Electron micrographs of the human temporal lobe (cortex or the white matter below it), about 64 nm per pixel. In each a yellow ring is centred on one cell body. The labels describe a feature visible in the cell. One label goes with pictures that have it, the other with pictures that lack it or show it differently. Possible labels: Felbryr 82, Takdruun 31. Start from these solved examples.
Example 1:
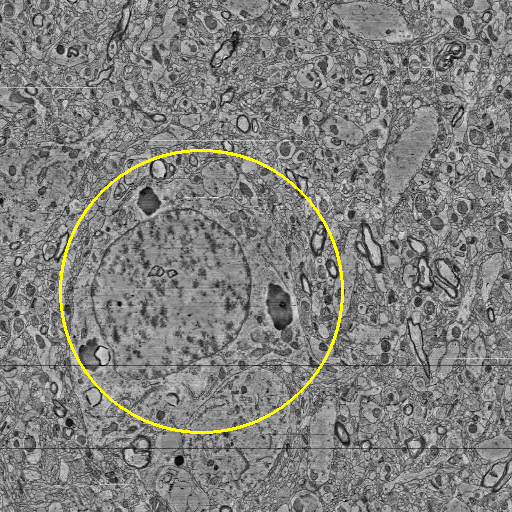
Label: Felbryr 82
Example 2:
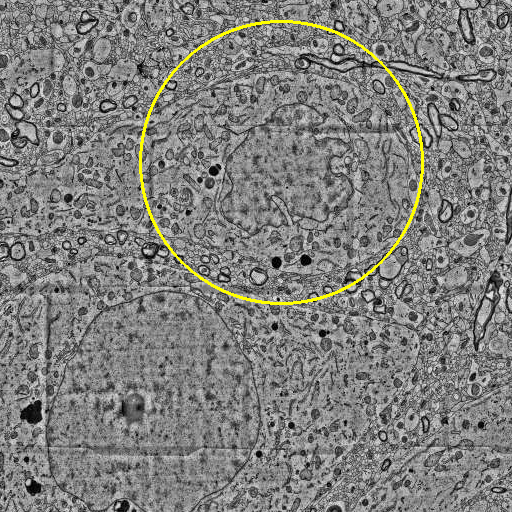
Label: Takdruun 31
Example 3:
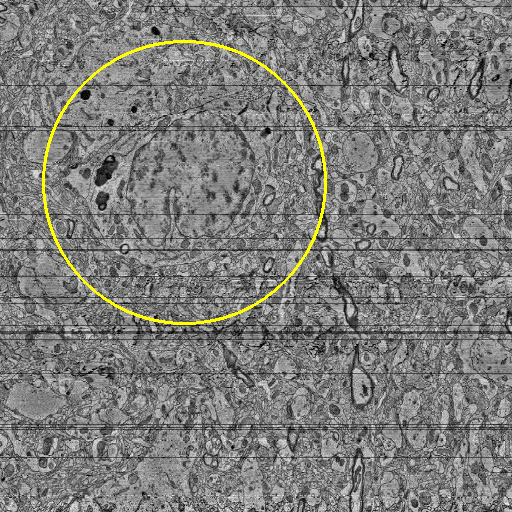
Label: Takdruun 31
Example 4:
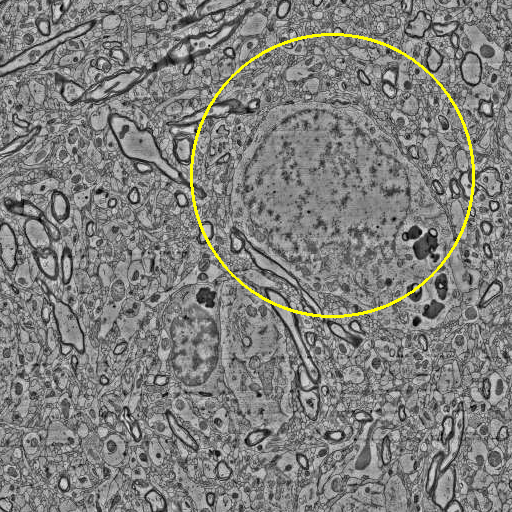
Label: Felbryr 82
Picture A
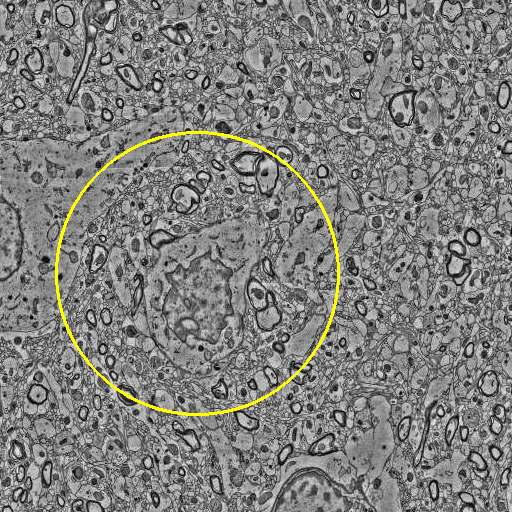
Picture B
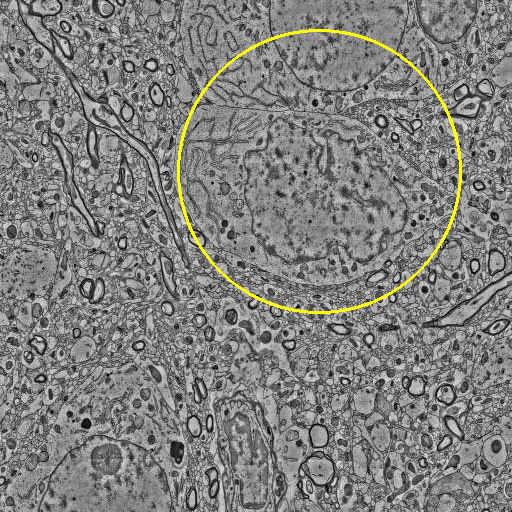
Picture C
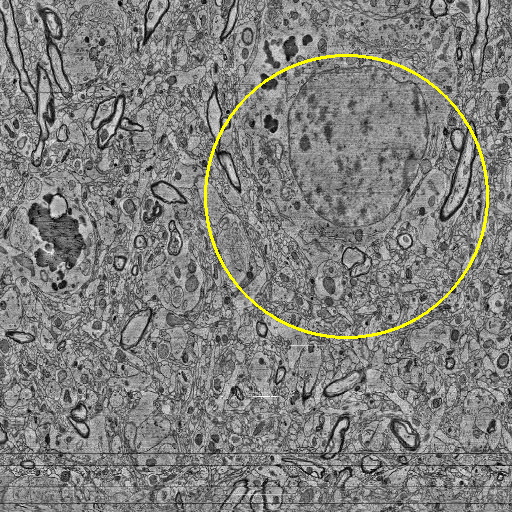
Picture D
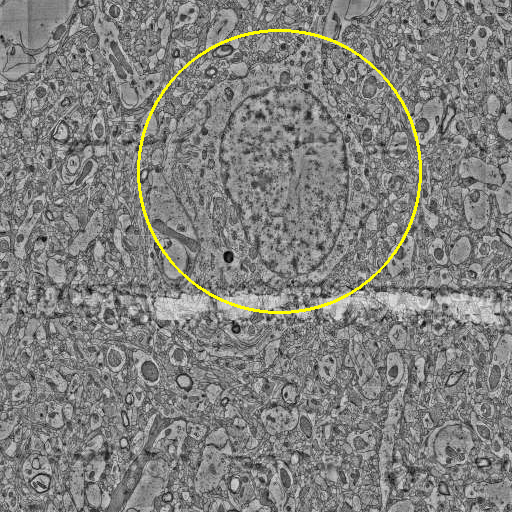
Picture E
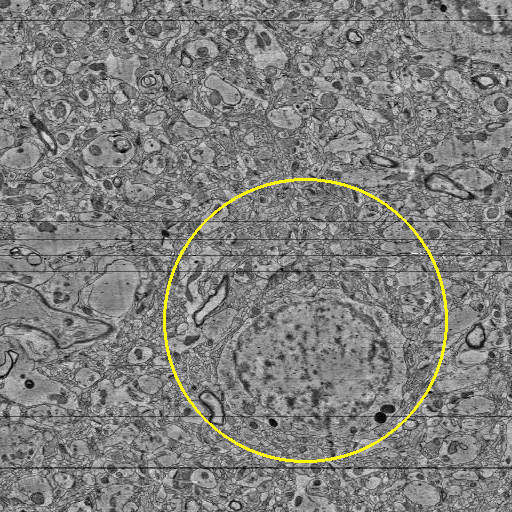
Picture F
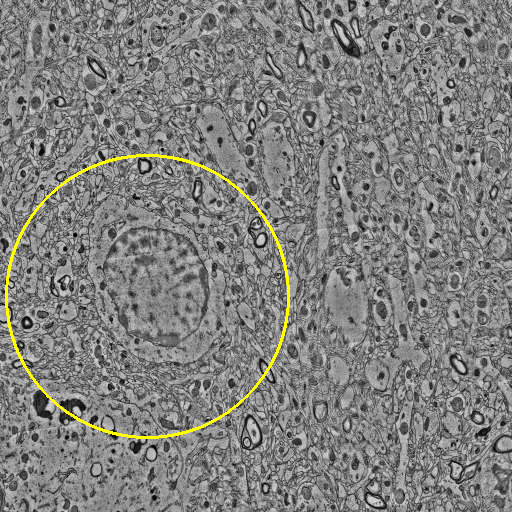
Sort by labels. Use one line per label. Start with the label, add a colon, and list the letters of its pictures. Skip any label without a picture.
Felbryr 82: C, D, E, F
Takdruun 31: A, B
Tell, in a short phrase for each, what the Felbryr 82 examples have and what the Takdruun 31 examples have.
Felbryr 82, smooth nuclear envelopes without deep folds; Takdruun 31, deeply folded or indented nuclear envelopes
